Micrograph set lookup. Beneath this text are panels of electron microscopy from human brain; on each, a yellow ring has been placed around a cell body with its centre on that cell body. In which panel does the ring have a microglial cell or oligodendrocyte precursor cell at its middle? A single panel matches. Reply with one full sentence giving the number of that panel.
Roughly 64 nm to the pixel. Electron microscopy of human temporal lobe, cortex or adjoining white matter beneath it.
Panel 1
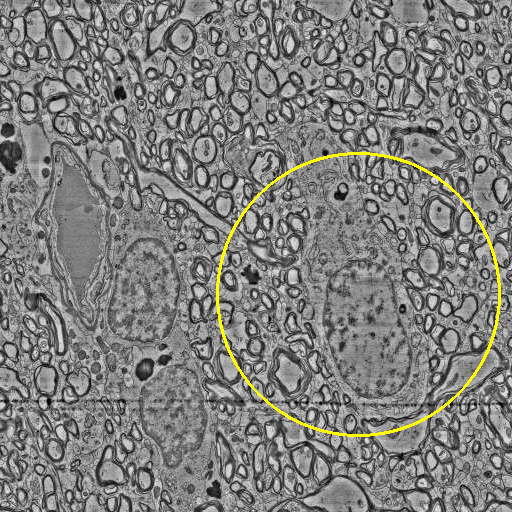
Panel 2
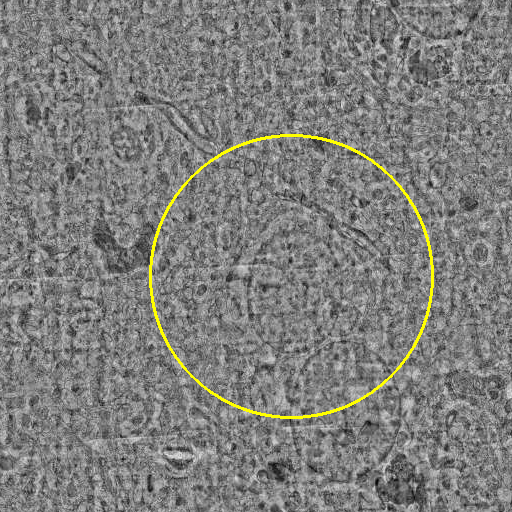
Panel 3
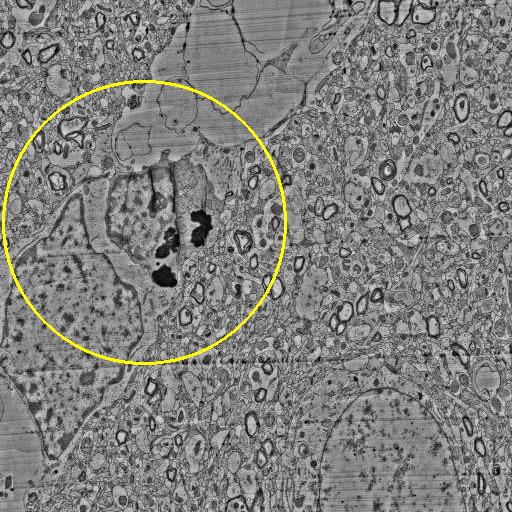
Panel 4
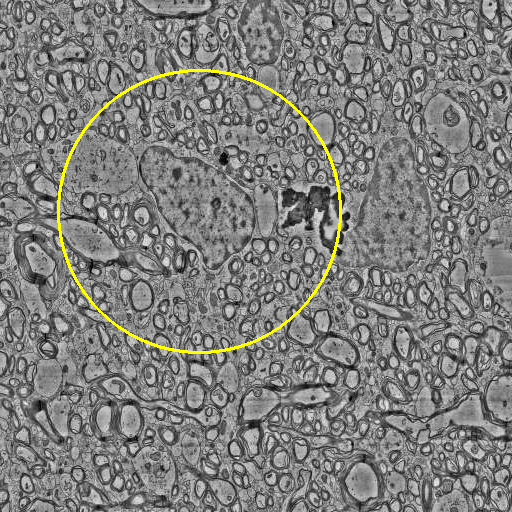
Panel 4 is the one whose ring has the sought cell at its centre.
